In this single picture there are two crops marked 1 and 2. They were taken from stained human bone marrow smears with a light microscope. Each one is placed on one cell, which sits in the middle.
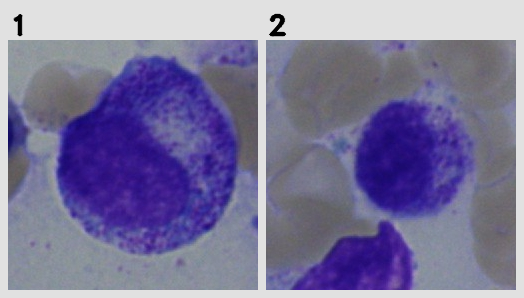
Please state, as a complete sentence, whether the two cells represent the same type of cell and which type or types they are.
Yes, the cells at the middle of both crops are myelocytes.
